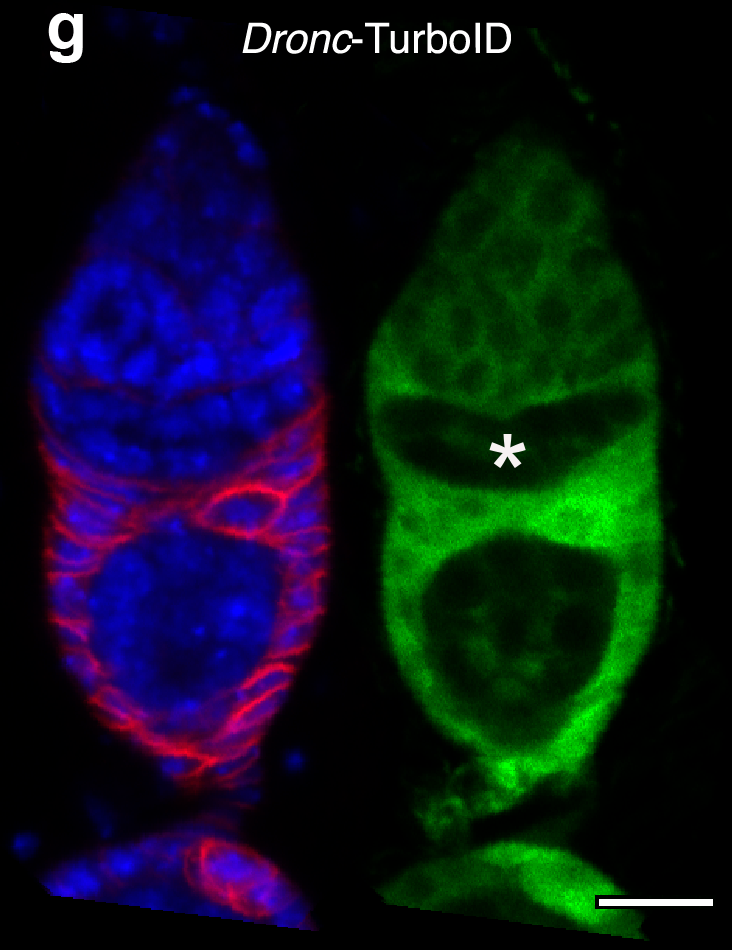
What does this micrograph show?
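Side by side, a germarium shows blue nuclei with red membranes outlining small flattened cells that wrap large rounded cysts in its middle and posterior parts, and the same field in green. The green is bright in the thin cell layers around the cysts and dim inside the large cysts themselves. The wrapping cells are somatic follicle-lineage cells and the large dim rounded cysts are germline.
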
